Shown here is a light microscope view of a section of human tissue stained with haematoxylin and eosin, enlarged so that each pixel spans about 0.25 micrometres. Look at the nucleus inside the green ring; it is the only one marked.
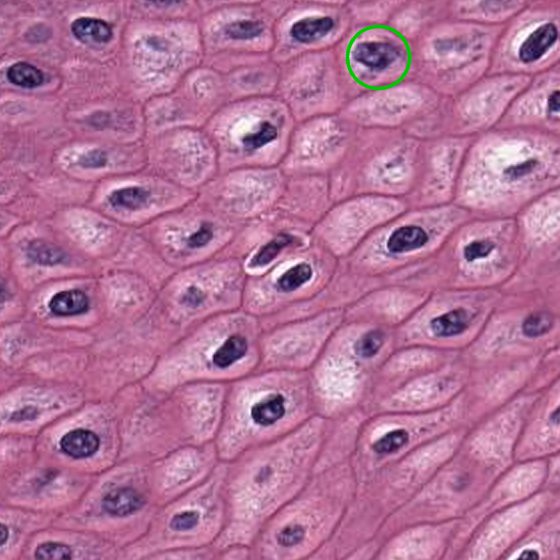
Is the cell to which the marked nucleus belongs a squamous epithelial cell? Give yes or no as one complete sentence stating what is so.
Yes, the nucleus marked in the image belongs to a squamous epithelial cell.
